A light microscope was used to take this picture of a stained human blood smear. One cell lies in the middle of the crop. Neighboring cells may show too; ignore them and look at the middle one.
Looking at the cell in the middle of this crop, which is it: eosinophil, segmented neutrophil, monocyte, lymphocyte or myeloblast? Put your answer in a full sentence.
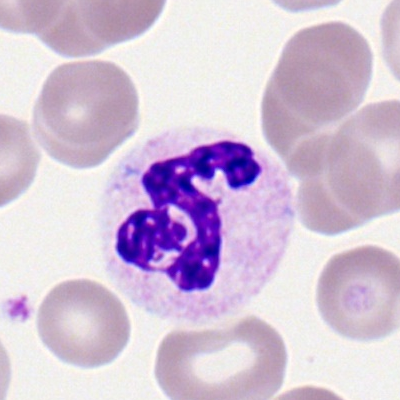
This crop's central cell is a segmented neutrophil.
